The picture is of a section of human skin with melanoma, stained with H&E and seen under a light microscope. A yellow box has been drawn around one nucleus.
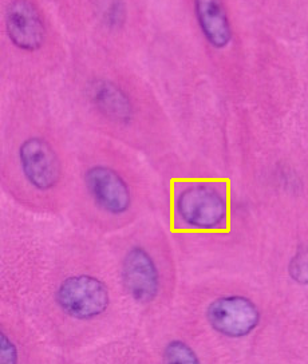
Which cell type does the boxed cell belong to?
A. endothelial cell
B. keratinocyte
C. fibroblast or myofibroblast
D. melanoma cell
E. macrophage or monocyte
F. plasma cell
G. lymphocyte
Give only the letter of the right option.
B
